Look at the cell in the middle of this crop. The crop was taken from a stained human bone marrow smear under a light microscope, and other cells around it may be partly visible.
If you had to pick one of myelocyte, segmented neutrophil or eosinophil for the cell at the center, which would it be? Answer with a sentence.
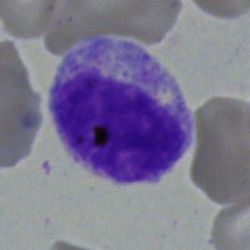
Centred in the crop is a myelocyte.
